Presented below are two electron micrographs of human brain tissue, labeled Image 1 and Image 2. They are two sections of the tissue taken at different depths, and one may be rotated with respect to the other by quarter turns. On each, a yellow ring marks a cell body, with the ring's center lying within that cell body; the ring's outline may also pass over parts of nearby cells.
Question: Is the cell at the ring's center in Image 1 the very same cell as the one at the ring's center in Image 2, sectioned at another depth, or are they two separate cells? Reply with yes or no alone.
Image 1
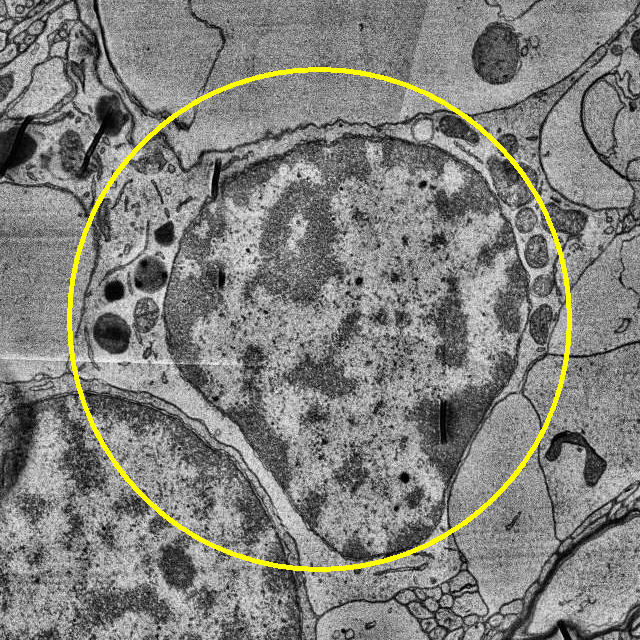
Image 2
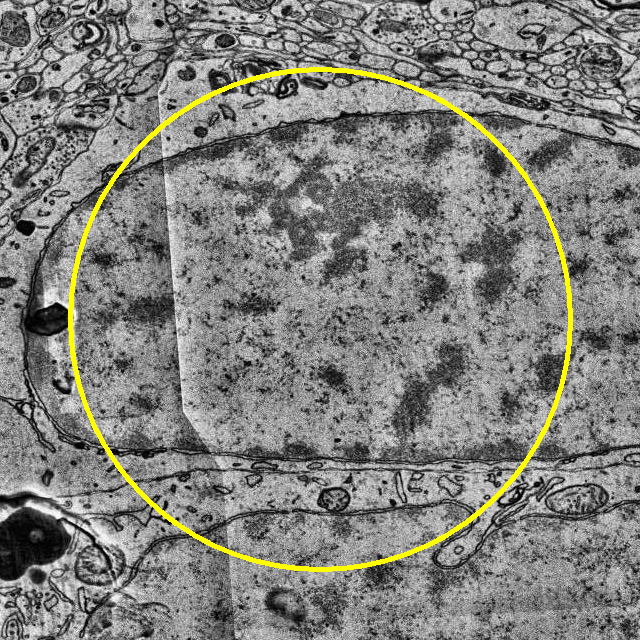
no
